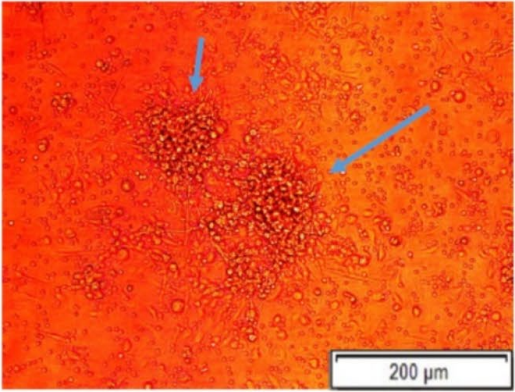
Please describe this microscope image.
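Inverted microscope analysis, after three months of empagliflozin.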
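Around the clusters the cells are looser, and the surrounding field is crowded with small round single cells. Few elongated spindle-shaped cells are seen compared with the dense clustered cells.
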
